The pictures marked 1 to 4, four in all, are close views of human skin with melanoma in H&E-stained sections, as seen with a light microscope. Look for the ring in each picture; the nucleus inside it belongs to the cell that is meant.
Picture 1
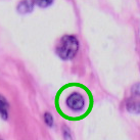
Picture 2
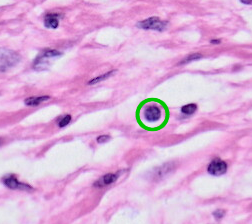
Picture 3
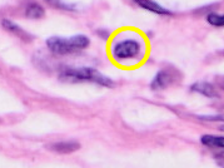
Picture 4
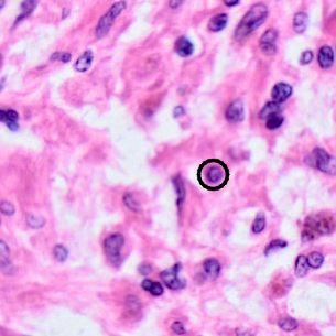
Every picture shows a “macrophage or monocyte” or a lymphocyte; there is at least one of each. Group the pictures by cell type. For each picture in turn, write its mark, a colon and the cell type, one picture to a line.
1: lymphocyte
2: lymphocyte
3: lymphocyte
4: macrophage or monocyte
